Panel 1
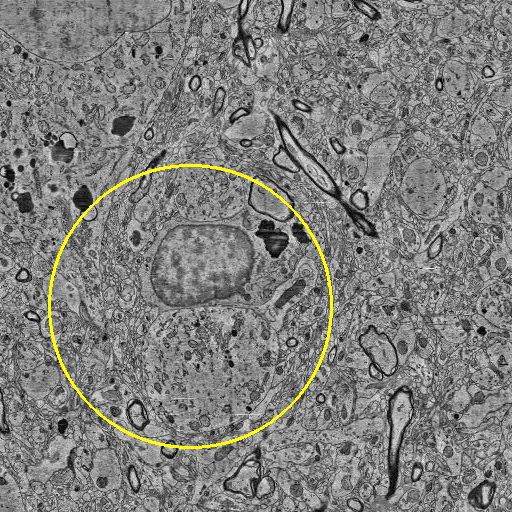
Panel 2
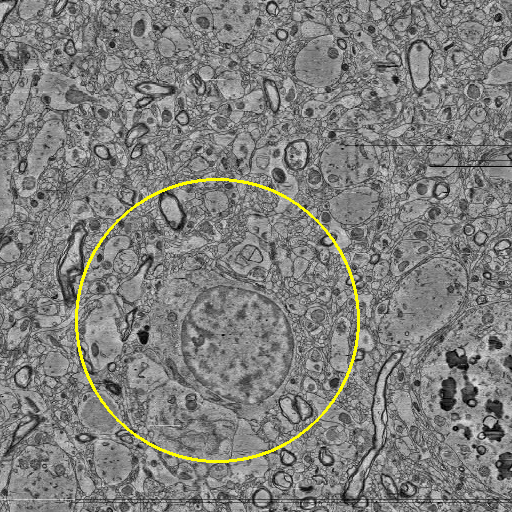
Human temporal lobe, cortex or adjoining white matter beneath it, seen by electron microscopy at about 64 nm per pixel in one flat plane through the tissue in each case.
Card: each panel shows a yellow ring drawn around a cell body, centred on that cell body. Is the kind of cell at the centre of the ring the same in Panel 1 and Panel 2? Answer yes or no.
yes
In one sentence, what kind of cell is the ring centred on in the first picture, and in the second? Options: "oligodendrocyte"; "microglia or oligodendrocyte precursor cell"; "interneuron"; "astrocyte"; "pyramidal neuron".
The first and the second cell are each an oligodendrocyte.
